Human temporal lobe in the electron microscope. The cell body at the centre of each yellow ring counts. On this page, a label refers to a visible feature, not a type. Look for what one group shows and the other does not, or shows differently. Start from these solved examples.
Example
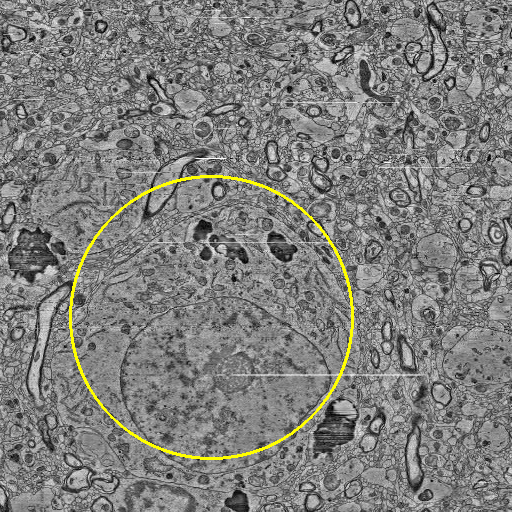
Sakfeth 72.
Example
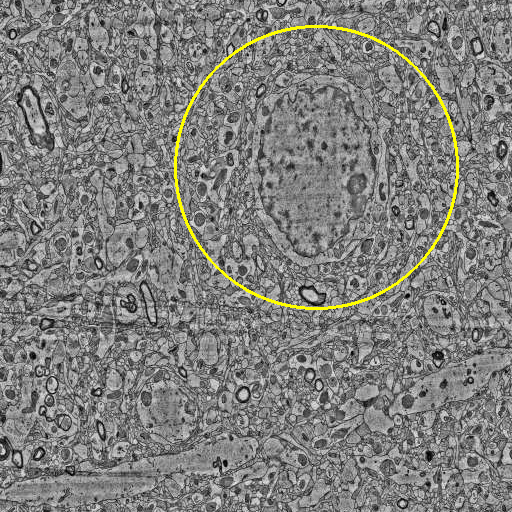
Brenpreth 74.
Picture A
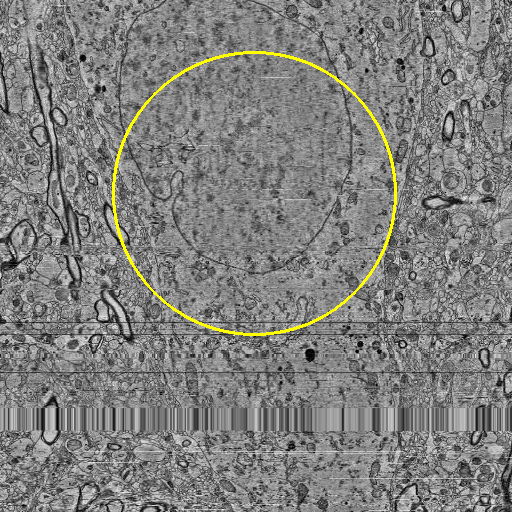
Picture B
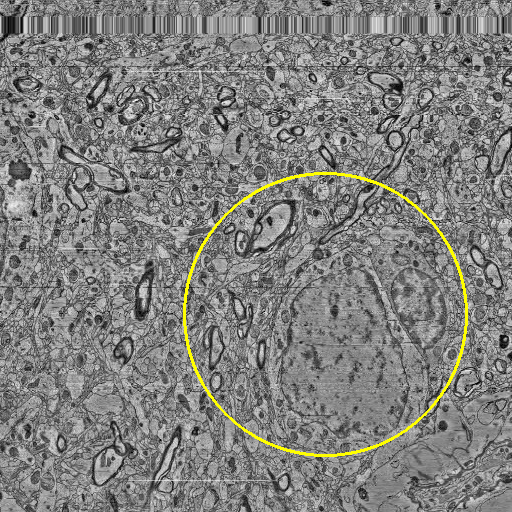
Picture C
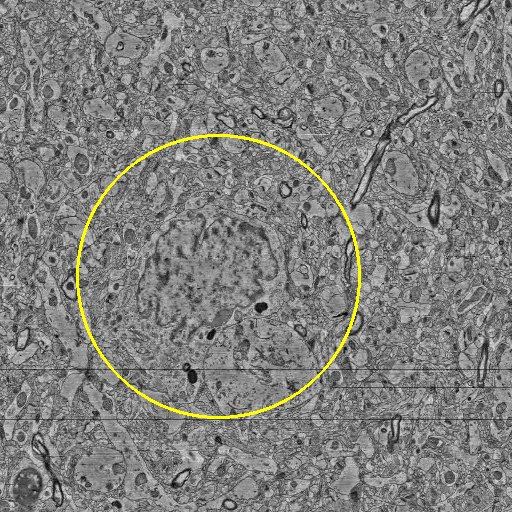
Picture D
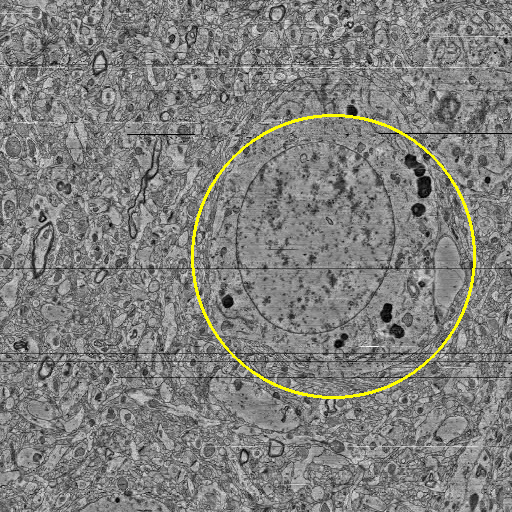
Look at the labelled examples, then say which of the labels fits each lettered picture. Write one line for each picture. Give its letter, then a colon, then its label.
A: Brenpreth 74.
B: Sakfeth 72.
C: Brenpreth 74.
D: Sakfeth 72.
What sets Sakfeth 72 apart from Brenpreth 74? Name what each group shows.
In Sakfeth 72: smooth nuclear envelopes without deep folds. In Brenpreth 74: deeply folded or indented nuclear envelopes.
